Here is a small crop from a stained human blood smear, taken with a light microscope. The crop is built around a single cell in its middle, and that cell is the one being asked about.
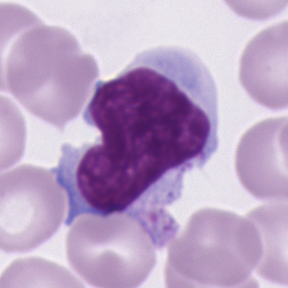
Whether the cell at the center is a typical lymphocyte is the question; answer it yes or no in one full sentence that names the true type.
No, the central cell is not to be called a typical lymphocyte, being a large granular lymphocyte.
